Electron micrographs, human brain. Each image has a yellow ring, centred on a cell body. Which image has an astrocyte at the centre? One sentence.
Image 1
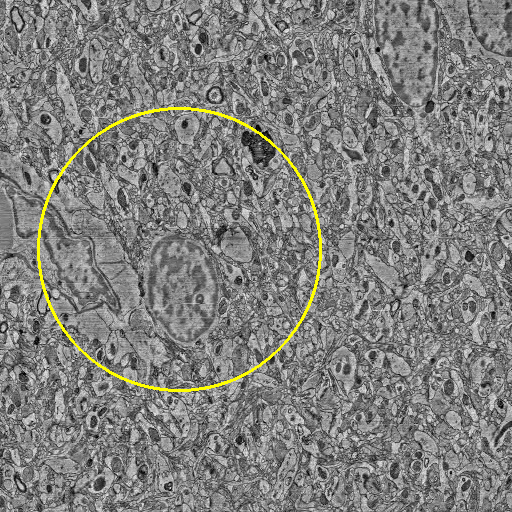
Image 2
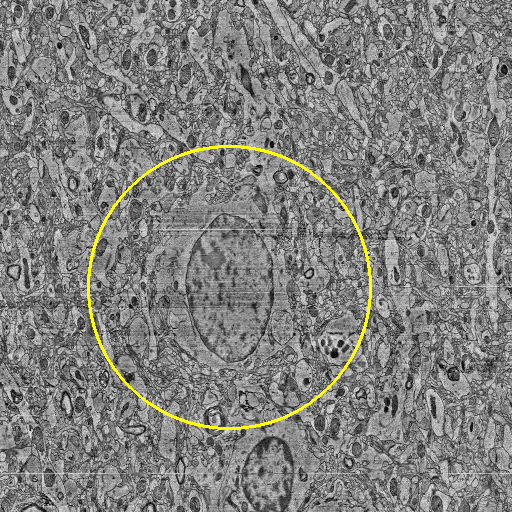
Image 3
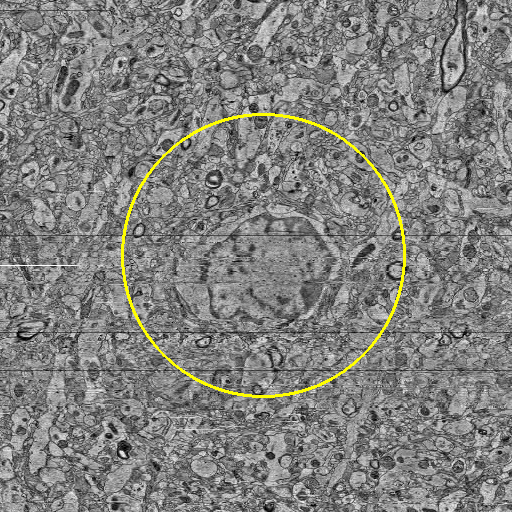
The ring in Image 2 is centred on it.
